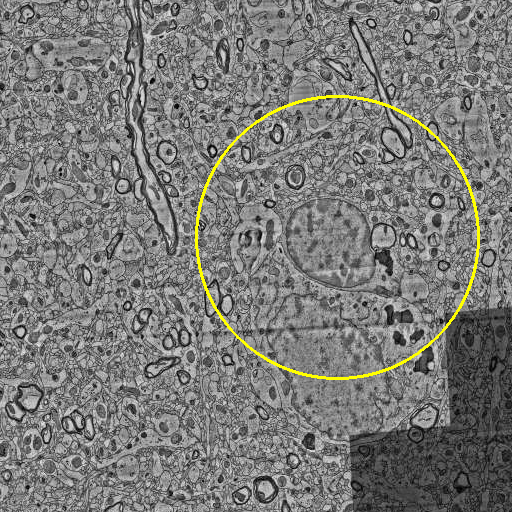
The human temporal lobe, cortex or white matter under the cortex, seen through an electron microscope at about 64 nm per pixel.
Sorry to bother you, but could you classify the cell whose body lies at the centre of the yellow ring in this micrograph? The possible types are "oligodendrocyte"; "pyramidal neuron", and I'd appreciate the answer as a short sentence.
The ringed cell body is that of an oligodendrocyte.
